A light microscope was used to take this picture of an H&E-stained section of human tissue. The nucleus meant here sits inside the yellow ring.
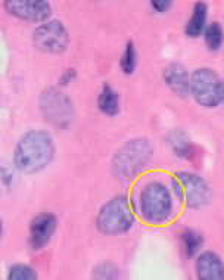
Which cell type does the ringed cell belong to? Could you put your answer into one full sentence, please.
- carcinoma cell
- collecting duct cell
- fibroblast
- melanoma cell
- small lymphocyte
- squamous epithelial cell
Students should answer that the ringed cell is a collecting duct cell.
